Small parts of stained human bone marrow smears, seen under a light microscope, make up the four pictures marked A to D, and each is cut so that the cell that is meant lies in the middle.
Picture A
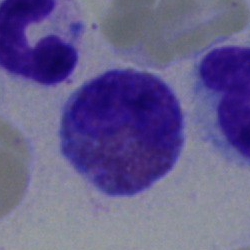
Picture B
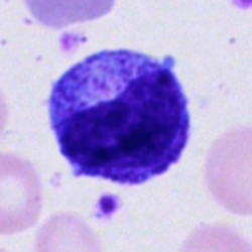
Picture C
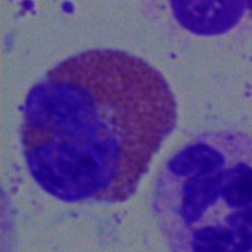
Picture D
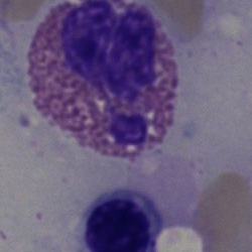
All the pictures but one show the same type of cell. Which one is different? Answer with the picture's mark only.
B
